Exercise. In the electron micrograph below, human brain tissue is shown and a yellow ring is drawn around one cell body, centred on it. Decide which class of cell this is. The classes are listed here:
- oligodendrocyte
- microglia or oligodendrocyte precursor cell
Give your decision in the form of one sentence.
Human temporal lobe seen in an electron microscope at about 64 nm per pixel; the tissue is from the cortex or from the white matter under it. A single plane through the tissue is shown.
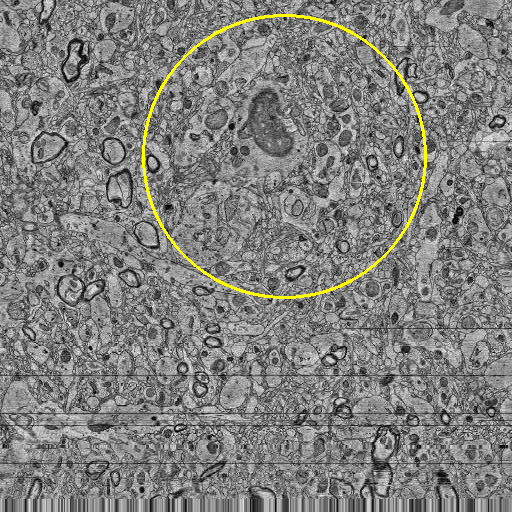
The cell body marked by the ring belongs to an oligodendrocyte.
